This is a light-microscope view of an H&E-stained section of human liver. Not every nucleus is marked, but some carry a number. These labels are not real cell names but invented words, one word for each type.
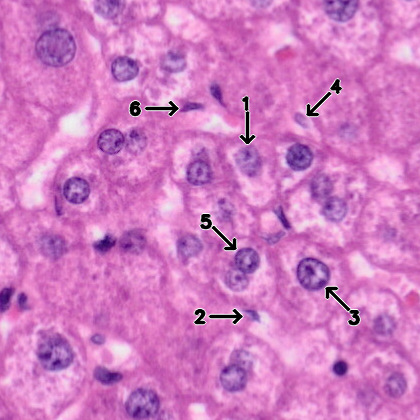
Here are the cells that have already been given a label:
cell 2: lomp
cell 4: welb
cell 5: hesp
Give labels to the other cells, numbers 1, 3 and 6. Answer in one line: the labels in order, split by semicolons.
hesp; hesp; lomp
